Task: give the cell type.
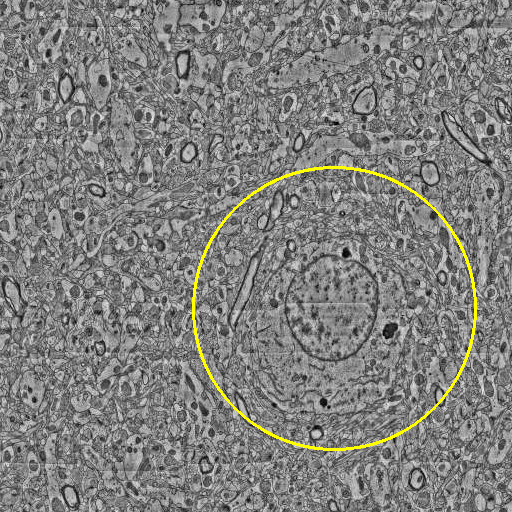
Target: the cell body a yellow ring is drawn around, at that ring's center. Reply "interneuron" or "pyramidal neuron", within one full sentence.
In this picture, the cell whose body lies at the ring's center is a pyramidal neuron.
